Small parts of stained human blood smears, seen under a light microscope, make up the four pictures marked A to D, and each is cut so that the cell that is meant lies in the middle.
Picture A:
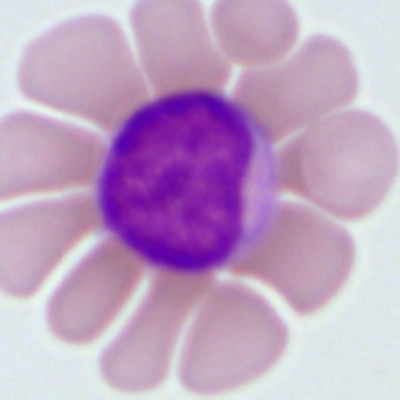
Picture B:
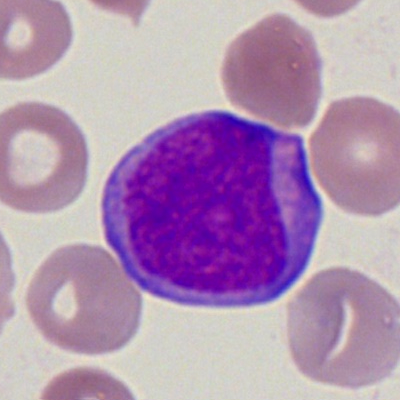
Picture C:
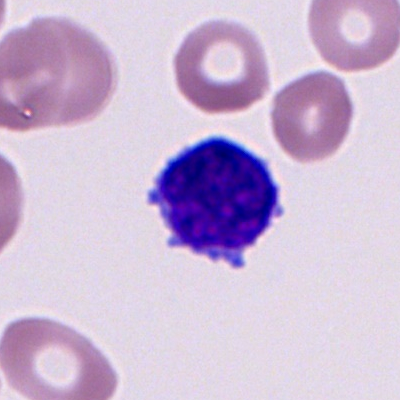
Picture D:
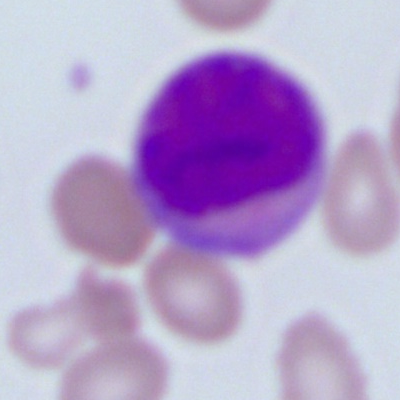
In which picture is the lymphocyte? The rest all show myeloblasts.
C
